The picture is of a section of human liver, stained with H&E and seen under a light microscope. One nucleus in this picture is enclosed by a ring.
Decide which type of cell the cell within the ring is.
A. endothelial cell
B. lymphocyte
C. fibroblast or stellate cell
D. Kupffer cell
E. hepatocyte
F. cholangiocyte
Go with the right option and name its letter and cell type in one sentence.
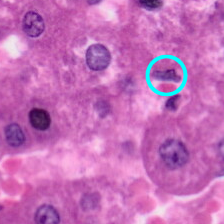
The item is answered by option A: the cell within the ring is an endothelial cell.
